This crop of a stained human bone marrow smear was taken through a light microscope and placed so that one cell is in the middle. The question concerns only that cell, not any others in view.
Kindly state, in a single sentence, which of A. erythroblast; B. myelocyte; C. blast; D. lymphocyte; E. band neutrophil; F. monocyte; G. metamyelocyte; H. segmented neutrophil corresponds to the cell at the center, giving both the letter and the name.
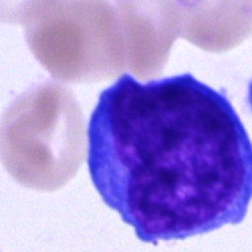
Identified correctly by option C, the cell in the middle is a blast.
